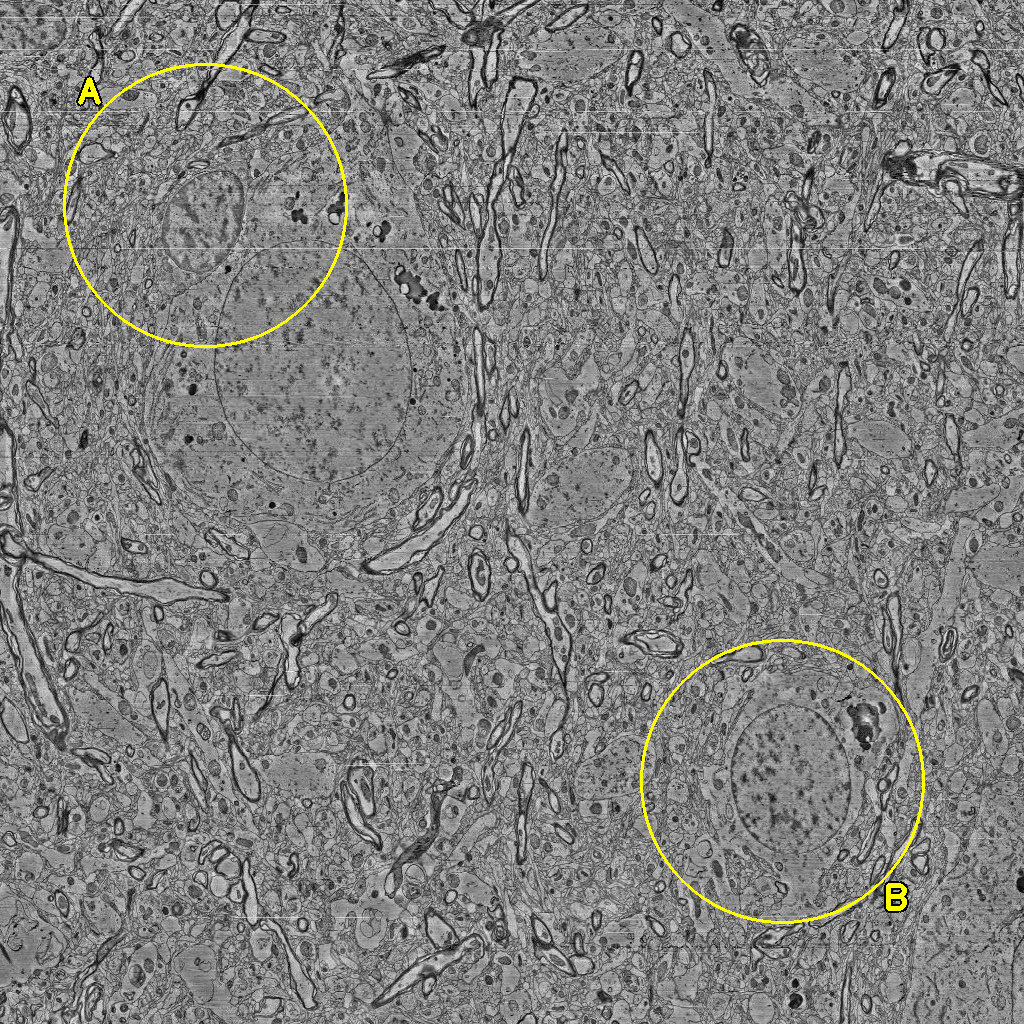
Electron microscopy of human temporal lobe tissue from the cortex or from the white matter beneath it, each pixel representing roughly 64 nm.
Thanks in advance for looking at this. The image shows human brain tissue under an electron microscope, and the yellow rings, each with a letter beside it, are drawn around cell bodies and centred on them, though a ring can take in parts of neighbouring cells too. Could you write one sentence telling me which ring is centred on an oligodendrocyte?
Ring A is centred on it.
